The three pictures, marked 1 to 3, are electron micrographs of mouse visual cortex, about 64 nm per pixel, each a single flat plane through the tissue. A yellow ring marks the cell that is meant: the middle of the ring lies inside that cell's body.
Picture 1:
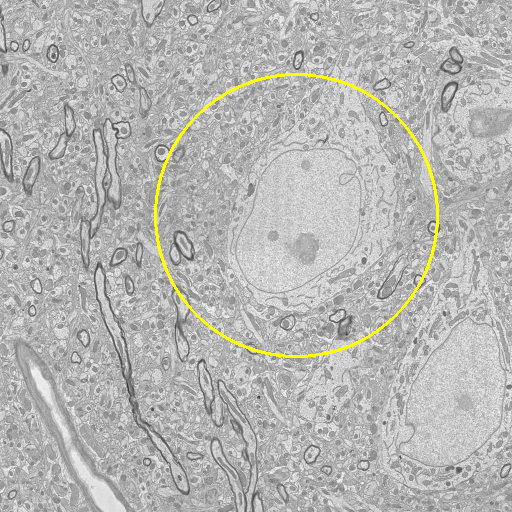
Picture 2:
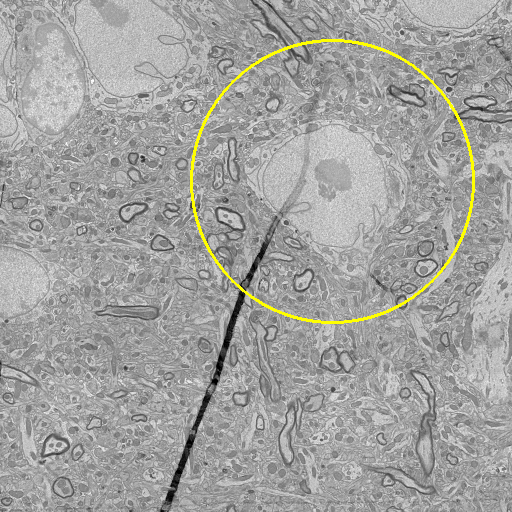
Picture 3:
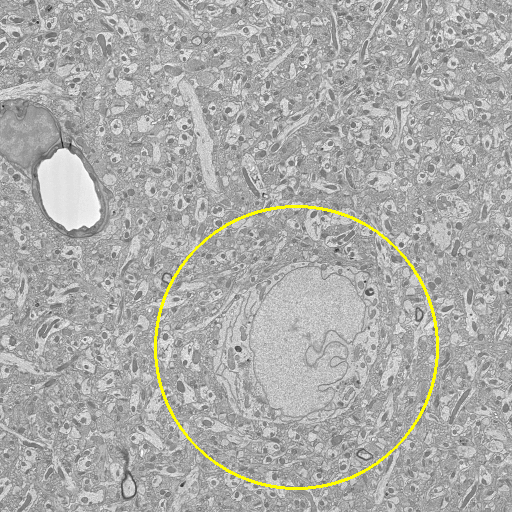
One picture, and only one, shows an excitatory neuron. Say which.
The picture with the excitatory neuron is 1.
